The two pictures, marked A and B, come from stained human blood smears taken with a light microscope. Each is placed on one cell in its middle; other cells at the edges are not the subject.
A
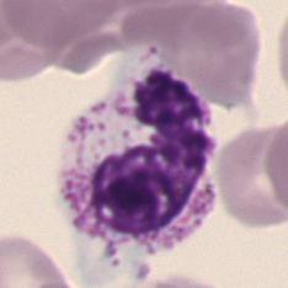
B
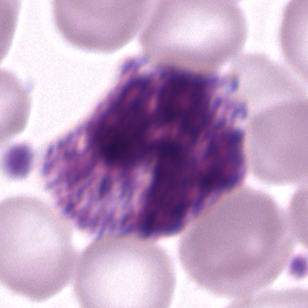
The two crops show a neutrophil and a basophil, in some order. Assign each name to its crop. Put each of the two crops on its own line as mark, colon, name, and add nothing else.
A: neutrophil
B: basophil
